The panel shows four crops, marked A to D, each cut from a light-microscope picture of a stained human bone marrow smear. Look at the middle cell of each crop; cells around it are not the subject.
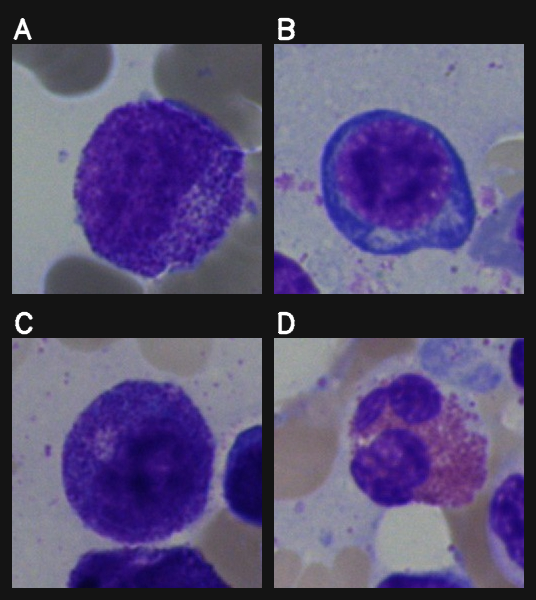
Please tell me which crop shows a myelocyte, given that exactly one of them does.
A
